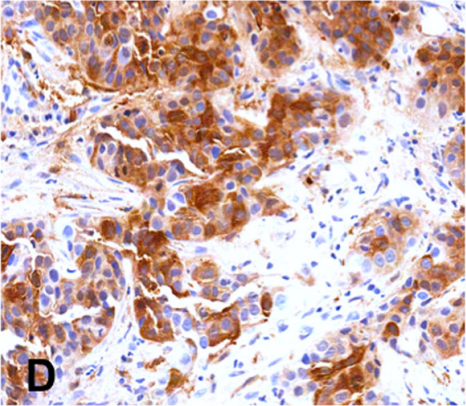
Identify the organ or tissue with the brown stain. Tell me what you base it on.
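Nests of epithelial cells with round nuclei lie in loose stroma. The cytoplasm of most cells in the nests is brown. The answer: invasive tumor component.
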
